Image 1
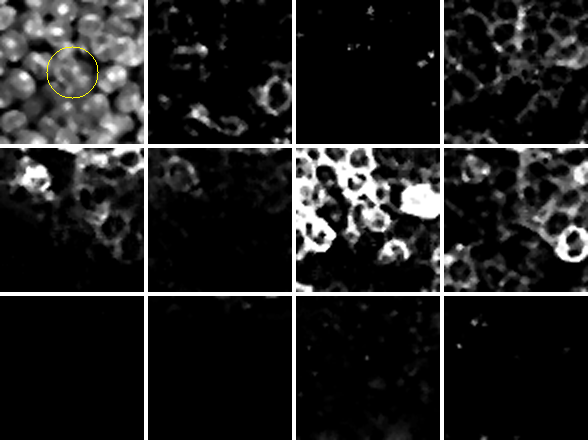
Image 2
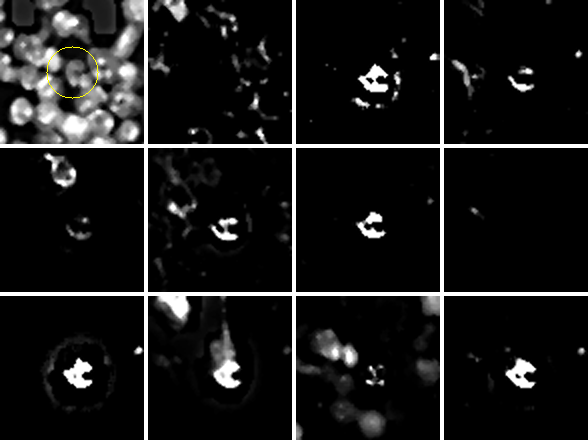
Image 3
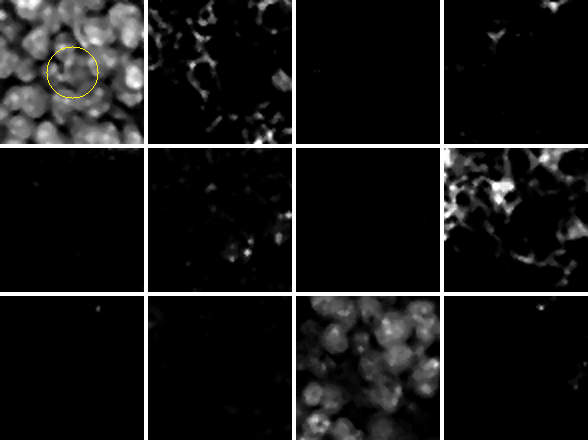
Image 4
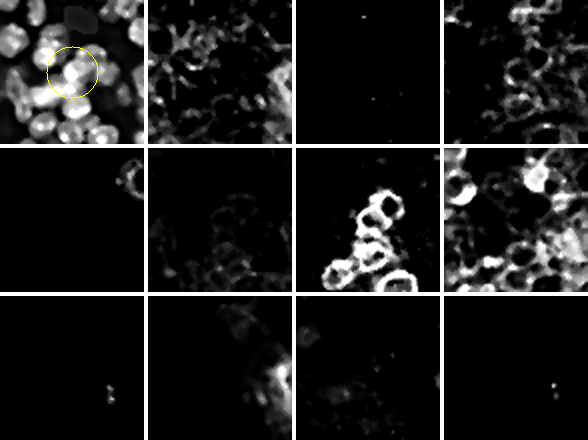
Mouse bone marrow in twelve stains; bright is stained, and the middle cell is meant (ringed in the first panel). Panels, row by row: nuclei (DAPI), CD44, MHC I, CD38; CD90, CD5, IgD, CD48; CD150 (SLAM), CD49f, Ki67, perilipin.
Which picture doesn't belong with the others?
Picture 3.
